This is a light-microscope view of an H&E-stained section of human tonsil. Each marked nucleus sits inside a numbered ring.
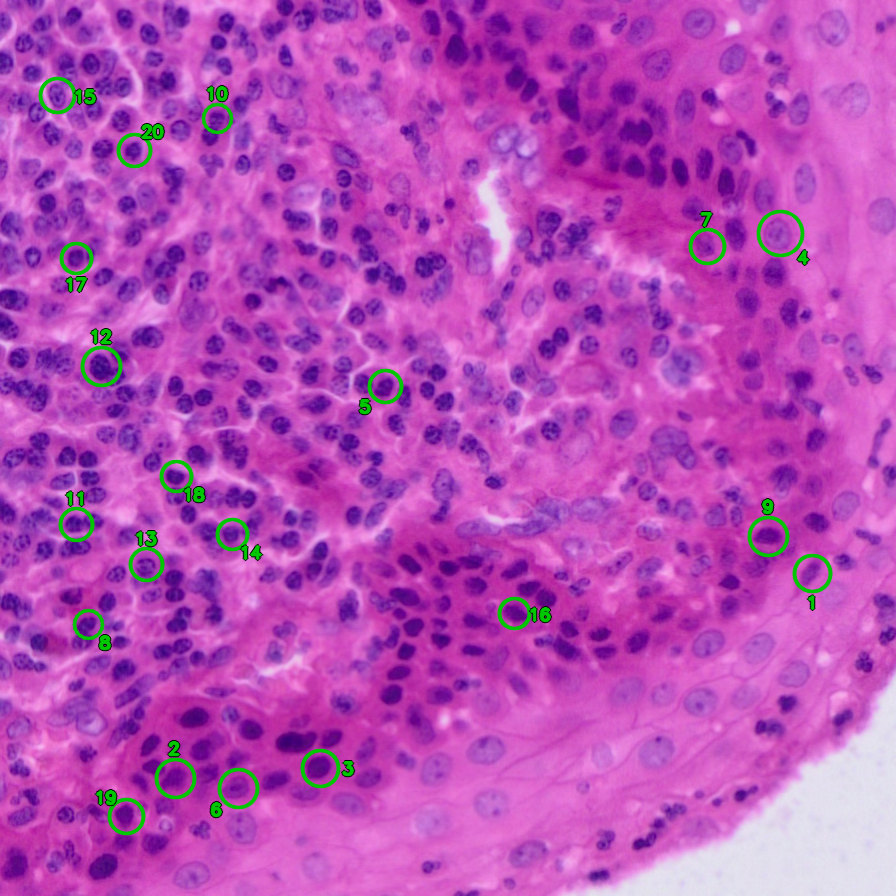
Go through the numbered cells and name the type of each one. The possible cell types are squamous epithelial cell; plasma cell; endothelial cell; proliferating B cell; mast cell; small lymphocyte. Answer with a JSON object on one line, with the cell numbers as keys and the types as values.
{"1": "squamous epithelial cell", "2": "squamous epithelial cell", "3": "squamous epithelial cell", "4": "squamous epithelial cell", "5": "plasma cell", "6": "squamous epithelial cell", "7": "squamous epithelial cell", "8": "plasma cell", "9": "squamous epithelial cell", "10": "plasma cell", "11": "plasma cell", "12": "plasma cell", "13": "plasma cell", "14": "plasma cell", "15": "plasma cell", "16": "squamous epithelial cell", "17": "plasma cell", "18": "plasma cell", "19": "squamous epithelial cell", "20": "plasma cell"}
